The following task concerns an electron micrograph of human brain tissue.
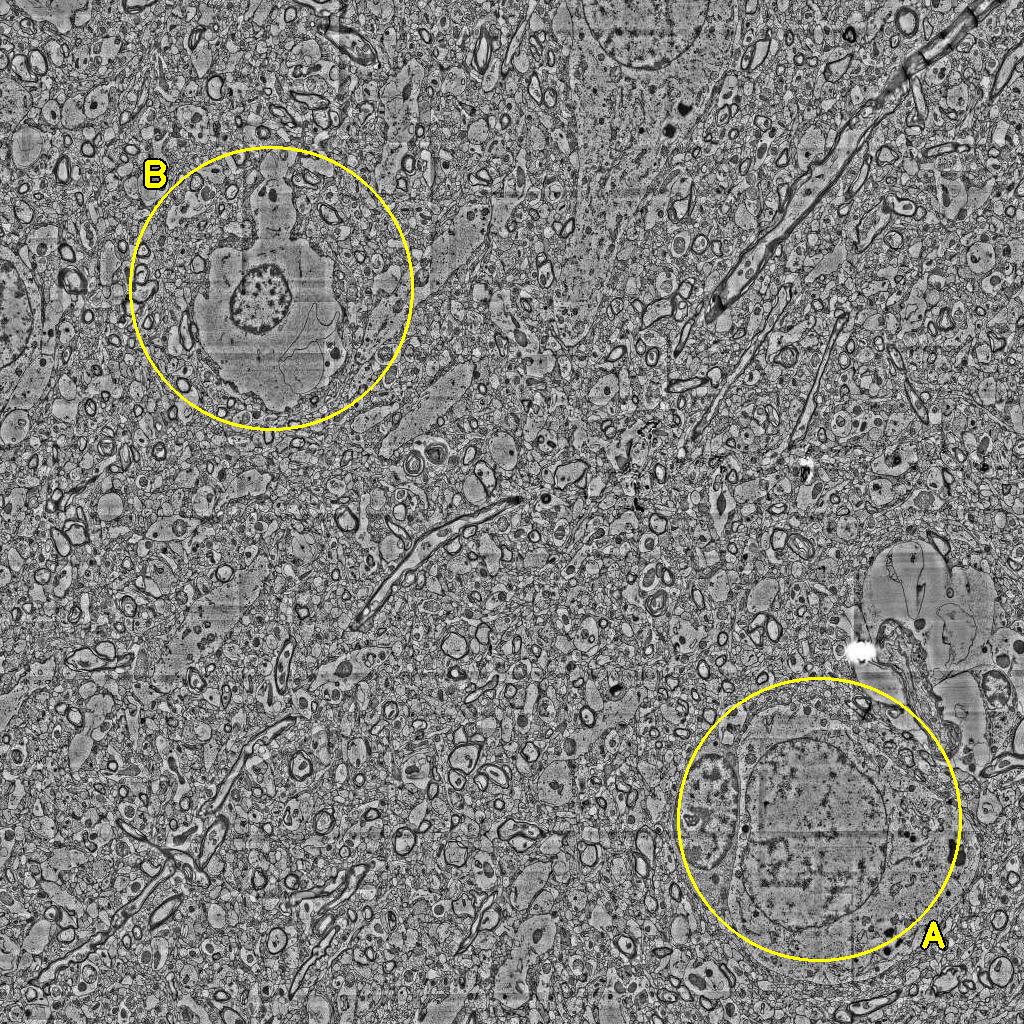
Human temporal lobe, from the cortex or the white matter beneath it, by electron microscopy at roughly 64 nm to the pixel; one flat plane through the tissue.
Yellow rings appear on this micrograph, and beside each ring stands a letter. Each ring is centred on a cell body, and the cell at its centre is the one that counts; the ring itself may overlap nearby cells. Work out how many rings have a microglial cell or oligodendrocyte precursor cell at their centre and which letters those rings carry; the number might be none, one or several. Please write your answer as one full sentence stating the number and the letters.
Among the rings in the micrograph, the number centred on a microglial cell or oligodendrocyte precursor cell is zero.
